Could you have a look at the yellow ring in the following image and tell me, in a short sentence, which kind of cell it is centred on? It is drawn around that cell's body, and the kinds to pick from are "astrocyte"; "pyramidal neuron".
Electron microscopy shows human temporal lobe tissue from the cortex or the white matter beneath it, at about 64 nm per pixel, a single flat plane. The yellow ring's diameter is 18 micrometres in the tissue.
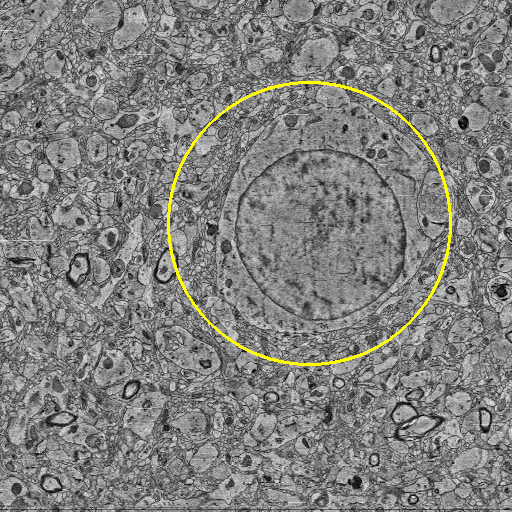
The ring is centred on the body of a pyramidal neuron.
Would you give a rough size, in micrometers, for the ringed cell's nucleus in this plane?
Roughly 11 micrometres across for the nucleus, in this plane.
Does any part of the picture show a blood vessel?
No, none is visible.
